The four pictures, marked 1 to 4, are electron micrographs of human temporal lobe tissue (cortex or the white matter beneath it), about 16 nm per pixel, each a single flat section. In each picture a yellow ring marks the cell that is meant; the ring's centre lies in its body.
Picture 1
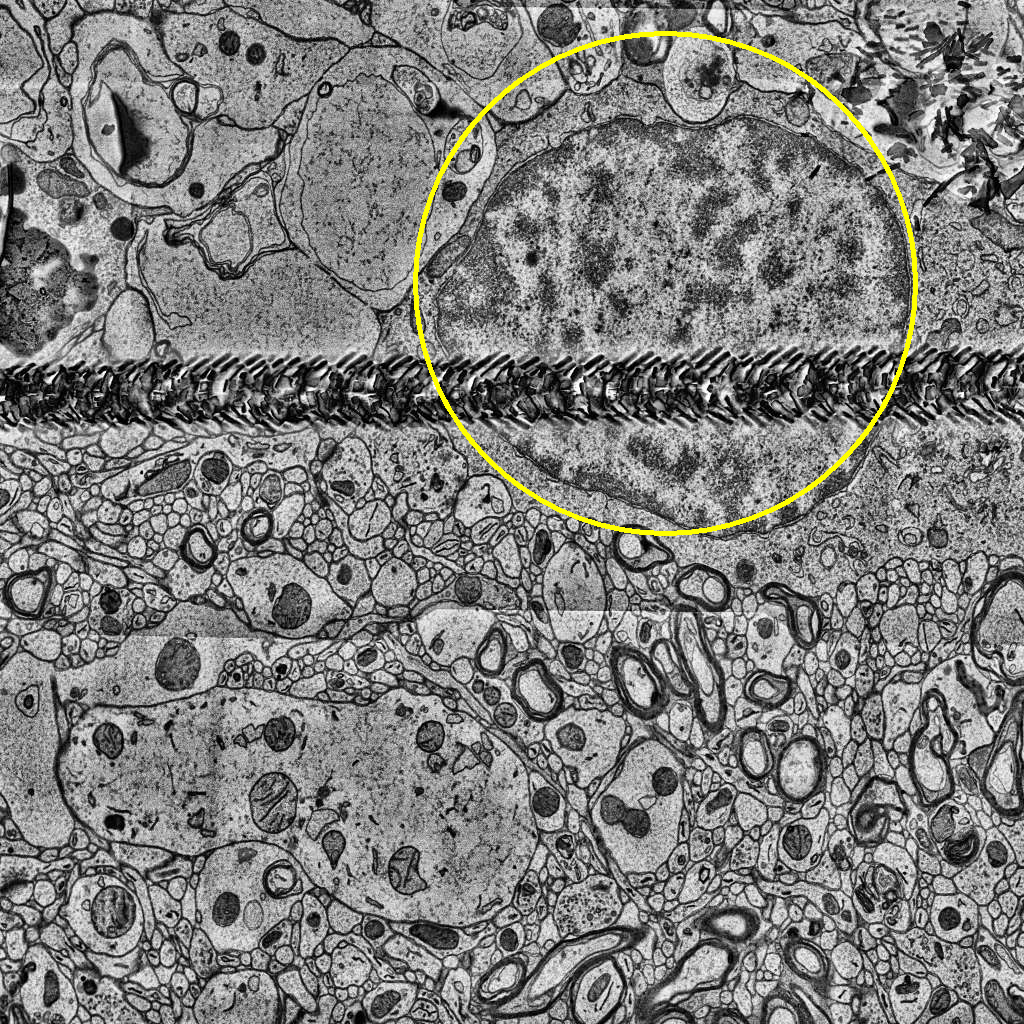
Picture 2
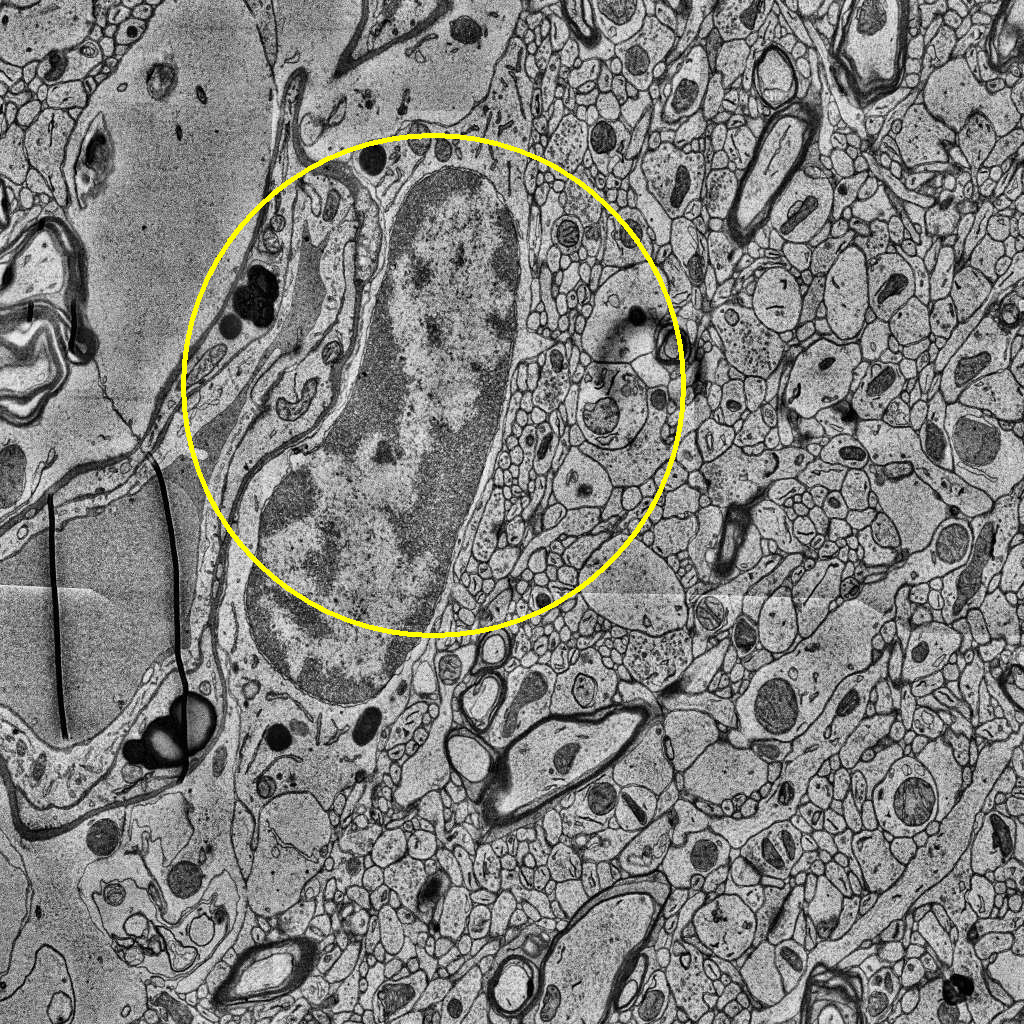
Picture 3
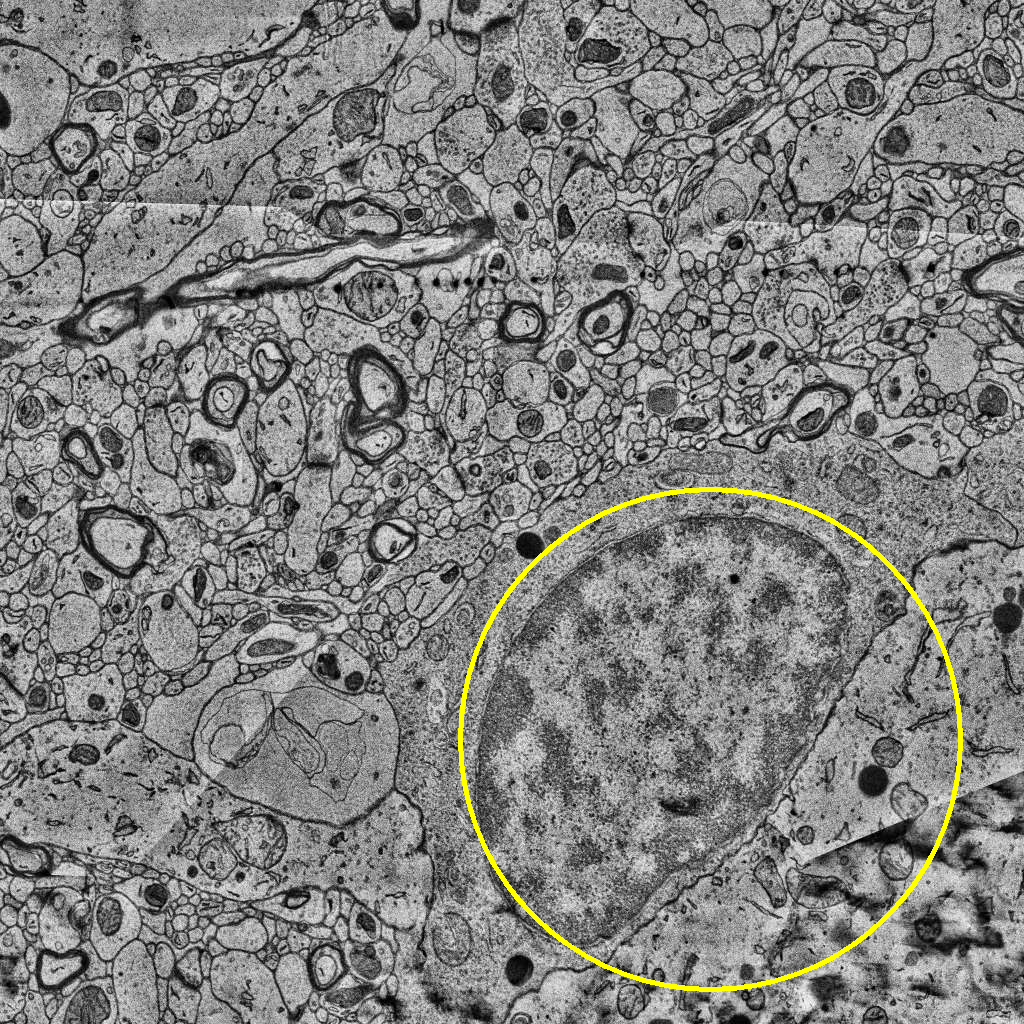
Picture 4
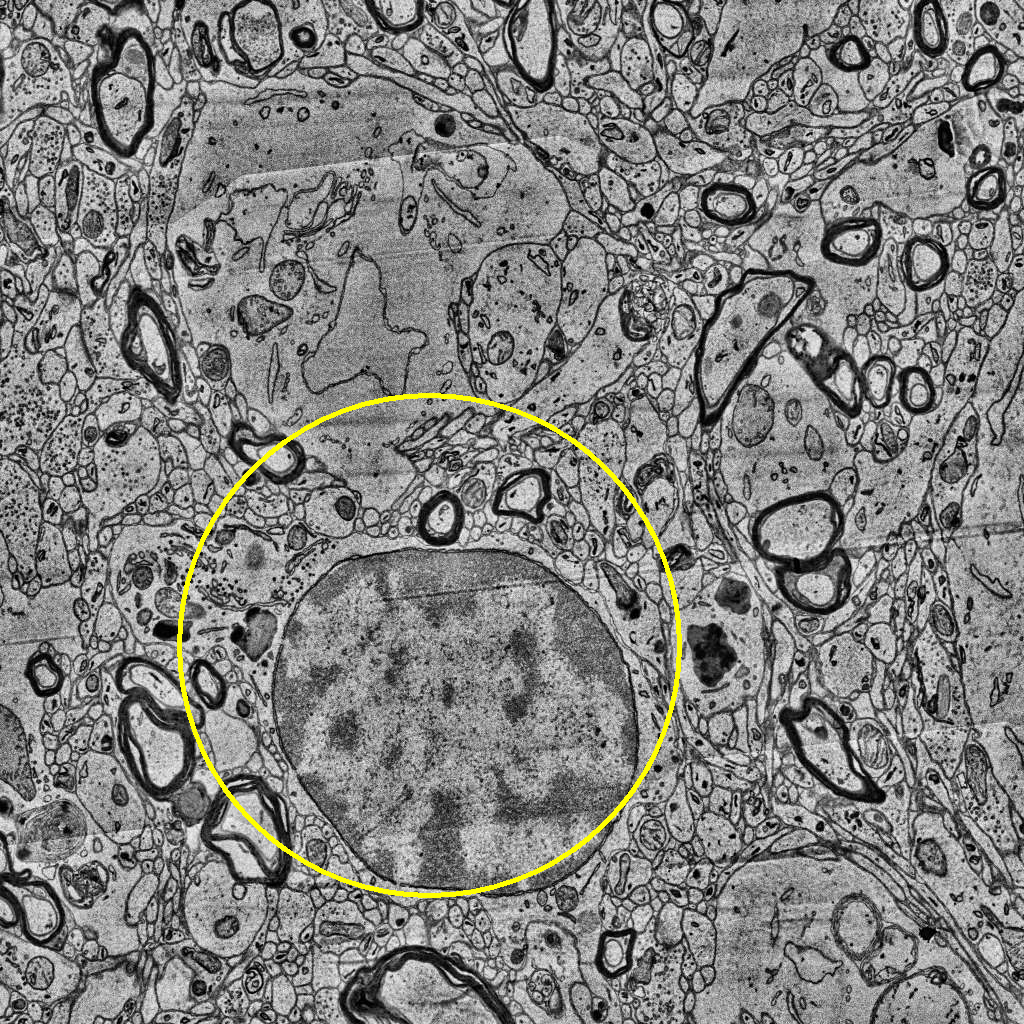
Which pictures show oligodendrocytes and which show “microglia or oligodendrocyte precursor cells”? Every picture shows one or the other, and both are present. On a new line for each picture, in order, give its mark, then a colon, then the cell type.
1: oligodendrocyte
2: microglia or oligodendrocyte precursor cell
3: oligodendrocyte
4: microglia or oligodendrocyte precursor cell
